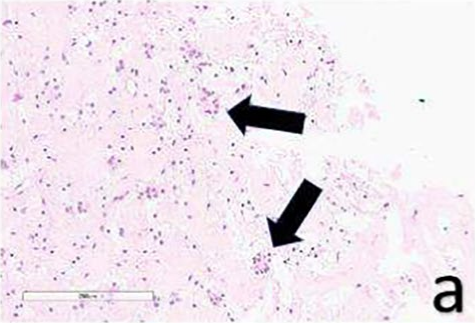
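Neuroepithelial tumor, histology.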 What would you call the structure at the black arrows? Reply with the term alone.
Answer: rosettes containing neuropil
